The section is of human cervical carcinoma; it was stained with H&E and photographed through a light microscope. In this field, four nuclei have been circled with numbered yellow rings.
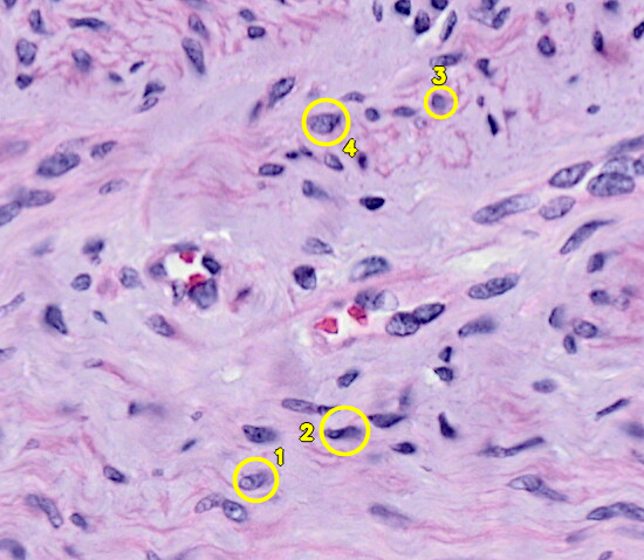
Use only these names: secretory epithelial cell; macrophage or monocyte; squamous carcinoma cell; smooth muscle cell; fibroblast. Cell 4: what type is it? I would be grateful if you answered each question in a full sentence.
That cell with number 4 is a smooth muscle cell.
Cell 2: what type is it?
The correct answer for cell 2 is a fibroblast.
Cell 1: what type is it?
The cell indicated by marker 1 is a smooth muscle cell in this section.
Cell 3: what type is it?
At number 3, the marked cell is a smooth muscle cell.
